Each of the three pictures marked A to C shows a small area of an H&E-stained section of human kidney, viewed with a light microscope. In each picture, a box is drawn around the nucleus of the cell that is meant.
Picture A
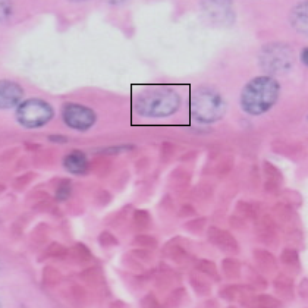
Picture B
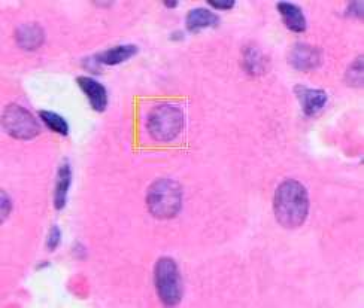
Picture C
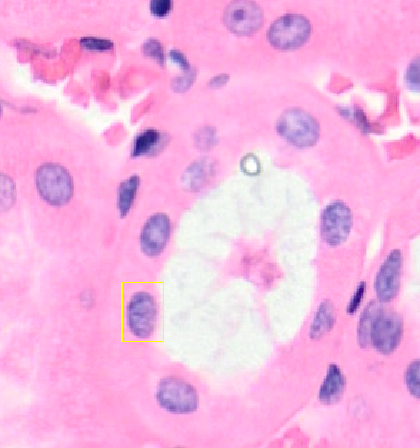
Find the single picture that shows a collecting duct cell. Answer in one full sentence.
It is picture A that shows the collecting duct cell.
